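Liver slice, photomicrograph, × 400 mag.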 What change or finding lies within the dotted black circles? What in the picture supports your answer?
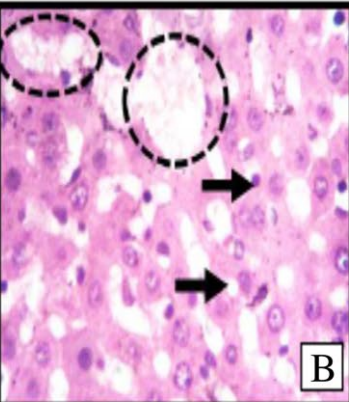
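Large vacuolations. The circled areas are pale, clear spaces within the pink tissue.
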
